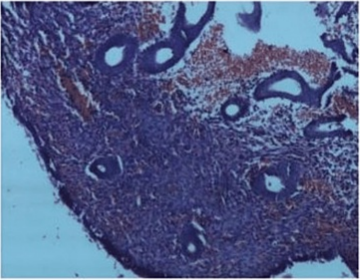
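This is endometrial mucosa with scattered glands set in a dense, cellular purple stroma. The glands are small, round to tubular, widely spaced, each lined by a single layer of columnar epithelium with dark nuclei around an open lumen. Between them the stroma is made of closely packed small cells, and in places red blood cells spill through it, collecting toward a free surface at the upper edge. The orderly spacing of simple tubular glands in abundant stroma fits normal endometrium in its proliferative phase.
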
